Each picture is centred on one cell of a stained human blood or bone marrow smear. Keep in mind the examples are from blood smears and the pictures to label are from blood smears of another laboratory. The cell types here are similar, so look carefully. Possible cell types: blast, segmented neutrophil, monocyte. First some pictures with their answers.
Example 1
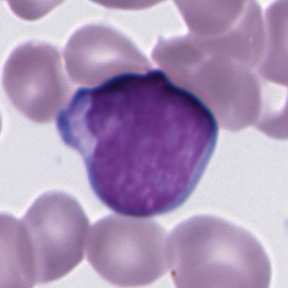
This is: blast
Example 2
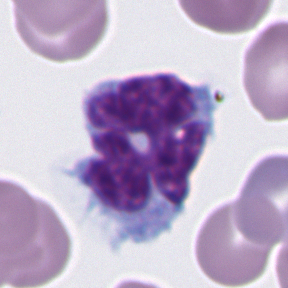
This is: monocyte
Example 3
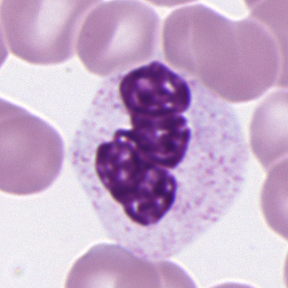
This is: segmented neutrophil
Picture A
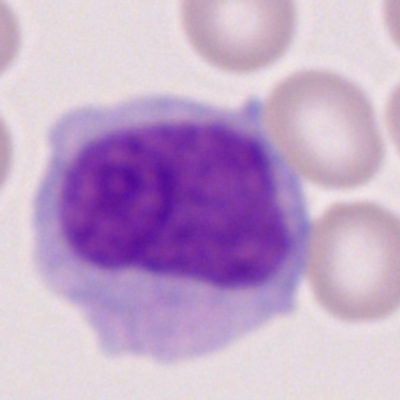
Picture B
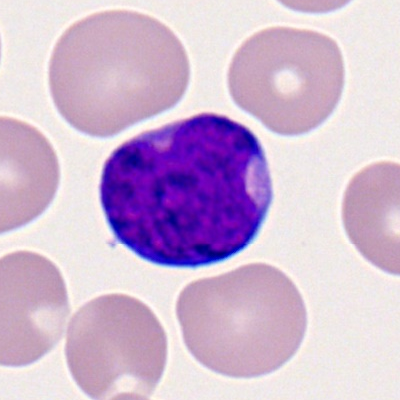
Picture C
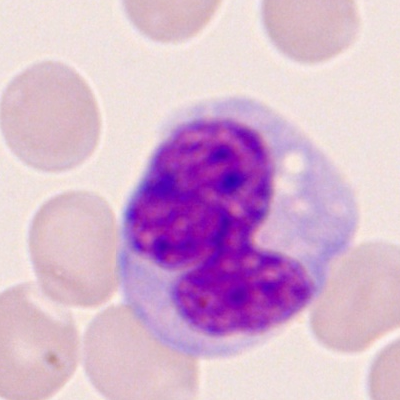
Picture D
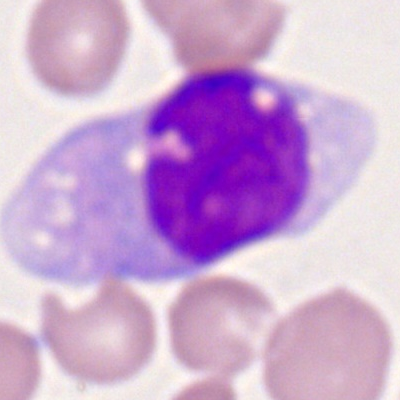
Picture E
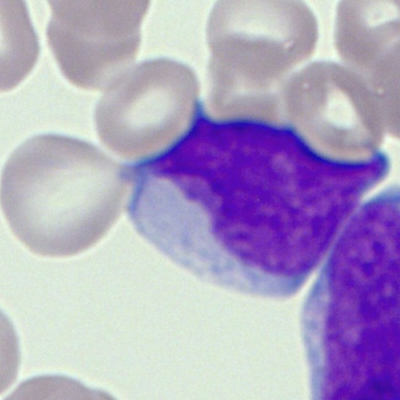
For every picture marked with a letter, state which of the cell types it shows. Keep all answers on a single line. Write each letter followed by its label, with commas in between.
A monocyte, B blast, C monocyte, D monocyte, E blast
